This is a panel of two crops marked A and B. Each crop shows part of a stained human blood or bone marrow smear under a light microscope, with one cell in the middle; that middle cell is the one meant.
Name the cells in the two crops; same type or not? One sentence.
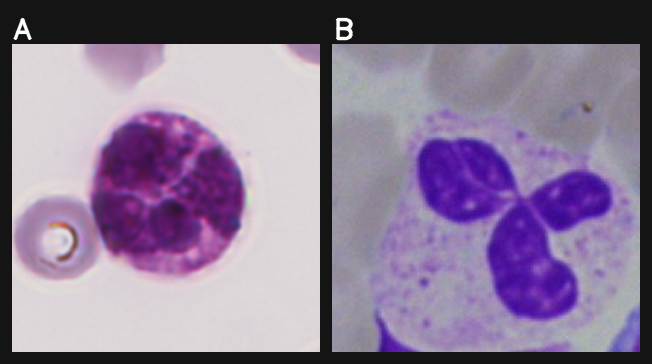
No, crop A presents a basophil; crop B presents a neutrophil.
